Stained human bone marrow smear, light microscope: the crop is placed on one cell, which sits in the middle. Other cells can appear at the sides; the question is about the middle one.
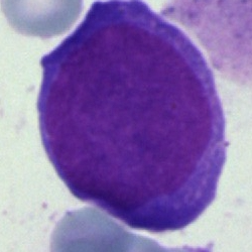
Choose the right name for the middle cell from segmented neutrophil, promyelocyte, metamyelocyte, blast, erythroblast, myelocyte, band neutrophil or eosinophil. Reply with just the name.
blast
